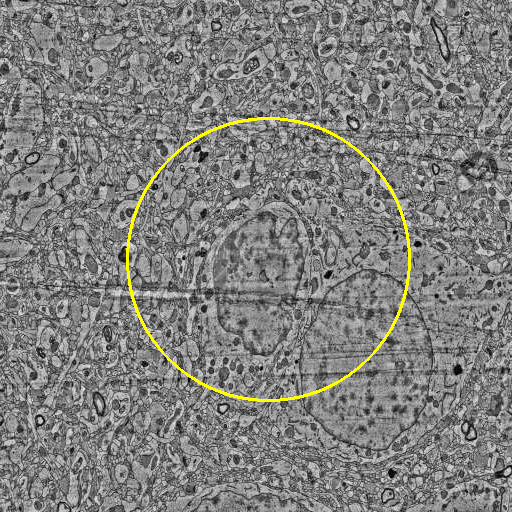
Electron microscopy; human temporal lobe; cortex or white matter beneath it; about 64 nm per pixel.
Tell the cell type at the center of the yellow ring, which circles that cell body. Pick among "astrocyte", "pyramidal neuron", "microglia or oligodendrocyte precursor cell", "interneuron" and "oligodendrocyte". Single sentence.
The ring is centered on the body of an interneuron.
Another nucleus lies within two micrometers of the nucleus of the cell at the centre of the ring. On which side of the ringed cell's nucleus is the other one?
That other nucleus sits to the lower right of it.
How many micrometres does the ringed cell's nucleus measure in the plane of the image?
The nucleus comes to approximately 9 by 6 micrometres and is clearly longer than it is wide in this plane.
